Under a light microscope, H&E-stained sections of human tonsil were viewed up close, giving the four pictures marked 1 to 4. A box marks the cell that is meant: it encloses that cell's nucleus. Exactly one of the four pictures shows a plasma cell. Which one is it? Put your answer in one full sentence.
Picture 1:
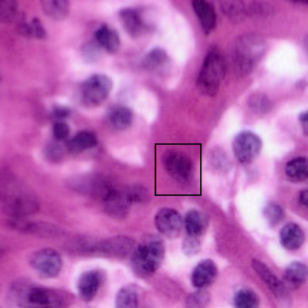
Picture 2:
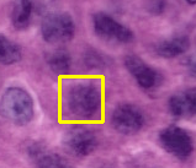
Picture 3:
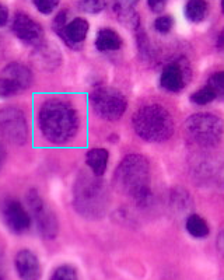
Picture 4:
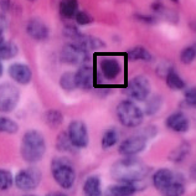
It is picture 4 that shows the plasma cell.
